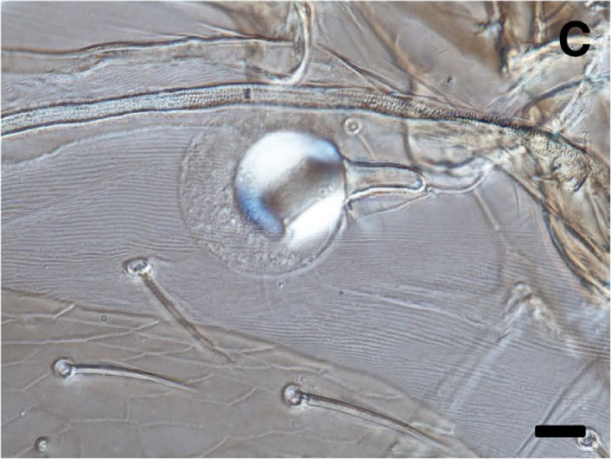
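This is an enlarged view of a vesicle of the spermatheca of a mite, holding one endospermatophore. The vesicle is a round sac with a finely granular content and a faint rim, lying in the body wall. Inside it sits a glossy, balloon-shaped body with a bright, bluish-edged surface. This balloon tapers into a narrow neck that runs out to the right into a tube. Around the sac the cuticle is finely striated and carries slender bristles, each rising from a small round socket.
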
